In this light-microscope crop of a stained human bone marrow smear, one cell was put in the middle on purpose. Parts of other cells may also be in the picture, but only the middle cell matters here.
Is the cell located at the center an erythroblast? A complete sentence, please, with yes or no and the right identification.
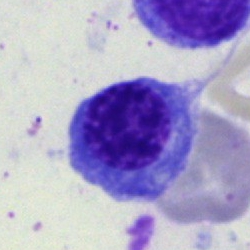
Yes, placed in the middle of the crop is an erythroblast.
